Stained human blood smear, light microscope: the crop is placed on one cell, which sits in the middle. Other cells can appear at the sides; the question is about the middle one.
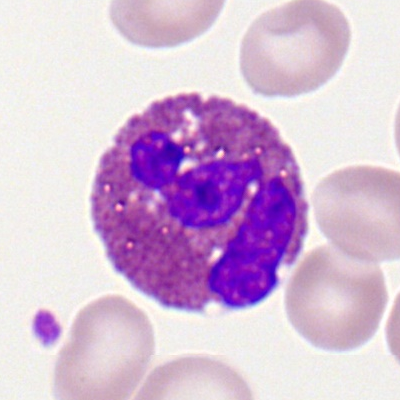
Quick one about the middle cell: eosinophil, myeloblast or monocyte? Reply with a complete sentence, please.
The identification for the central cell is an eosinophil.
